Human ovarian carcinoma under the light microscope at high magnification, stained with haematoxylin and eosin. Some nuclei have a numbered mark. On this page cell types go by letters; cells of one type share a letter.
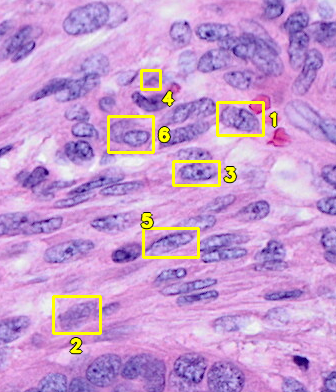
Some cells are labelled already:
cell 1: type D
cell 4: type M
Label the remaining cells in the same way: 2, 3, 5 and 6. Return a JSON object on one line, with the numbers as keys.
{"2": "type M", "3": "type M", "5": "type M", "6": "type D"}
